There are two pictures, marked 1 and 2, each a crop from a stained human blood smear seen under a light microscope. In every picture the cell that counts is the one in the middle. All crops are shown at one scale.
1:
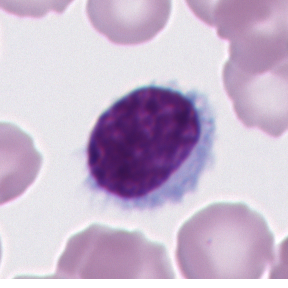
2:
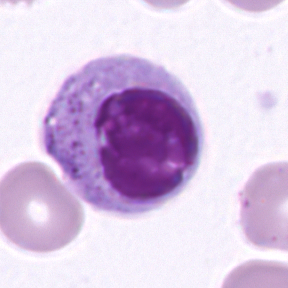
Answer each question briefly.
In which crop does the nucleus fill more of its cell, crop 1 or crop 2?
1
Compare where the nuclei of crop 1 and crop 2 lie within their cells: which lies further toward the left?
1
